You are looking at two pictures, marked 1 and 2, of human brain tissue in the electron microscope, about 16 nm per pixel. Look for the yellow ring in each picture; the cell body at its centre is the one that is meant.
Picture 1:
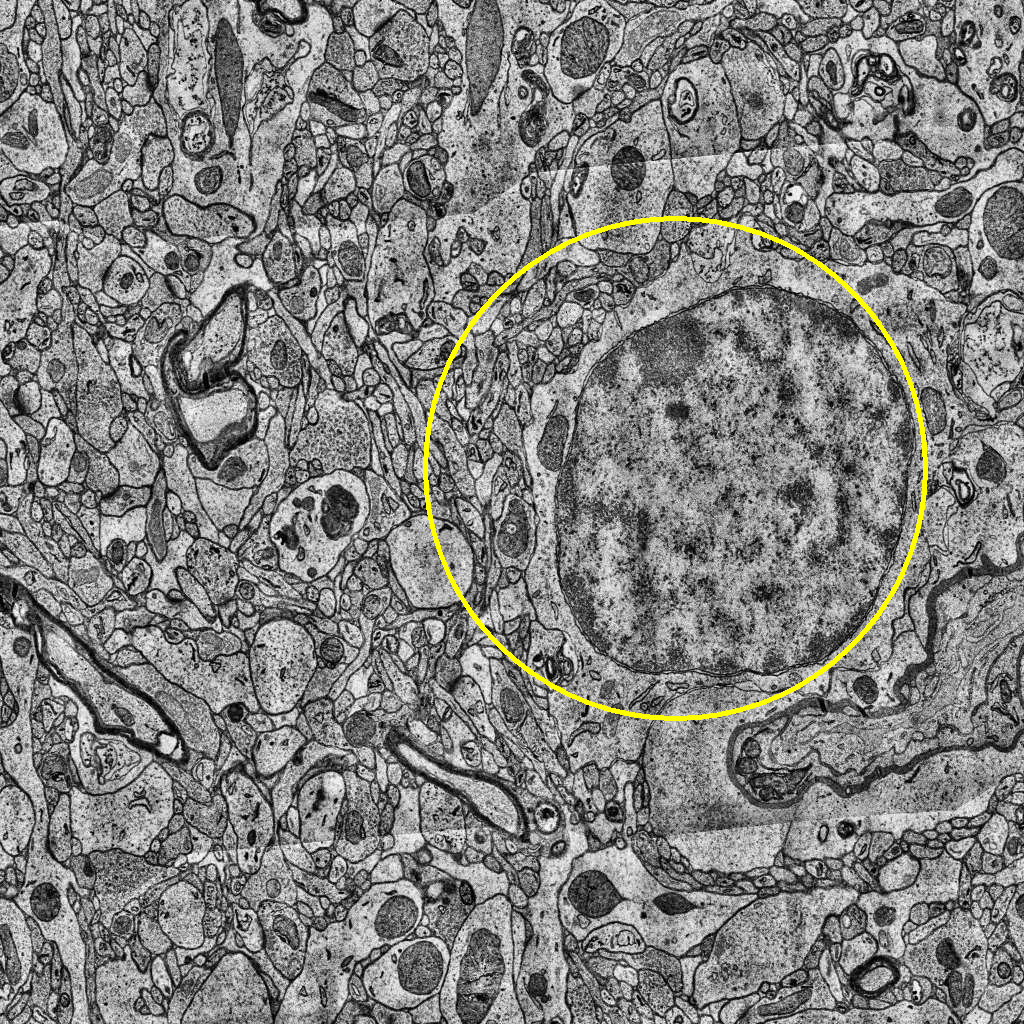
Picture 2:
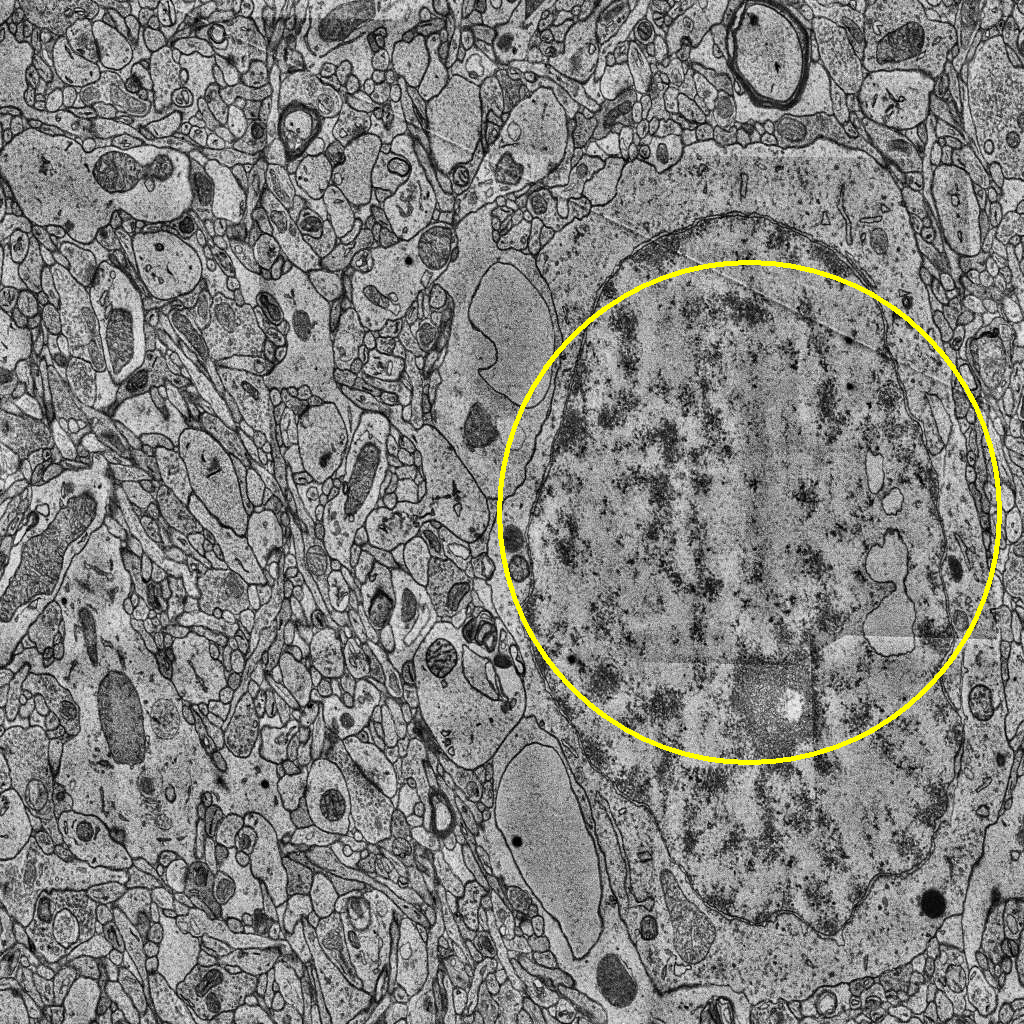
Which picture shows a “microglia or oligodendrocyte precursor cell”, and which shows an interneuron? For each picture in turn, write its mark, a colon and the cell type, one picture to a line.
1: microglia or oligodendrocyte precursor cell
2: interneuron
